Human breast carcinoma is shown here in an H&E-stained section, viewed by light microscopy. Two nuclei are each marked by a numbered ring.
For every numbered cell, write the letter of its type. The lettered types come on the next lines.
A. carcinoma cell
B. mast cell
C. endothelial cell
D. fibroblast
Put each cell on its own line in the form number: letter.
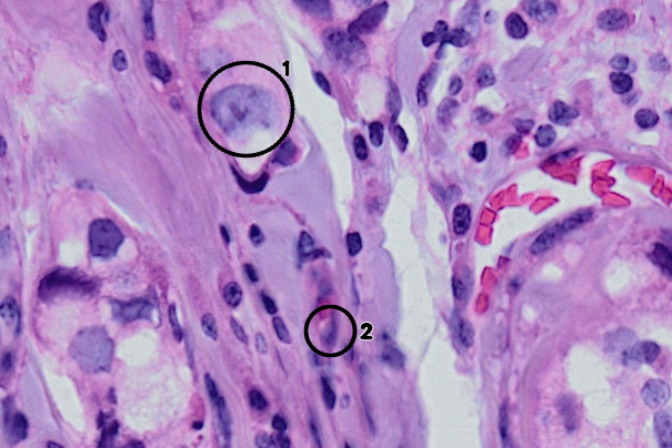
1: A
2: C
